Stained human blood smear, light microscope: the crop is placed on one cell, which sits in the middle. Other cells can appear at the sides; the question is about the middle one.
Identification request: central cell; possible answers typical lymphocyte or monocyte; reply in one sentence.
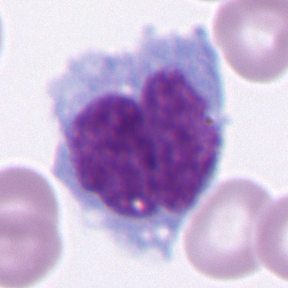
Of the cells in this crop, the central one is a monocyte.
